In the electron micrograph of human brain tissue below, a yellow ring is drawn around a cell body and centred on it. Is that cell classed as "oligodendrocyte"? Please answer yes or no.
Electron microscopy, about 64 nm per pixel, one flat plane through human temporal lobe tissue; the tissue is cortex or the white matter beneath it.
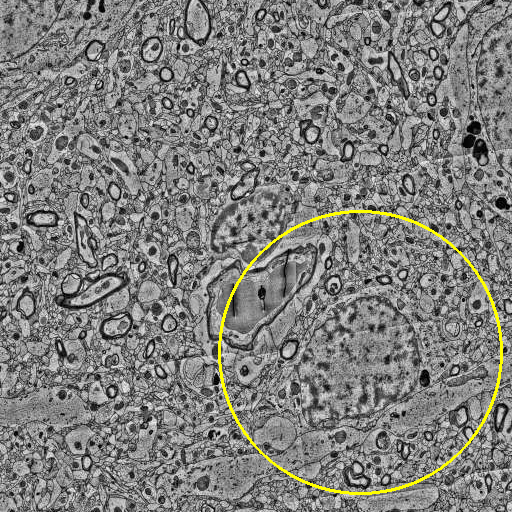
no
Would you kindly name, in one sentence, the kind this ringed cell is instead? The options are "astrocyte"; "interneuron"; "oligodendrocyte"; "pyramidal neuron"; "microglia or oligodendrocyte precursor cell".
The cell at the ring centre is an interneuron.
